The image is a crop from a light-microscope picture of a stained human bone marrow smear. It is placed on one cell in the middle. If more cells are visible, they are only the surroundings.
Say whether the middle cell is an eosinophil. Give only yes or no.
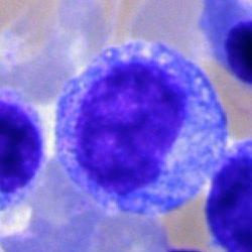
no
